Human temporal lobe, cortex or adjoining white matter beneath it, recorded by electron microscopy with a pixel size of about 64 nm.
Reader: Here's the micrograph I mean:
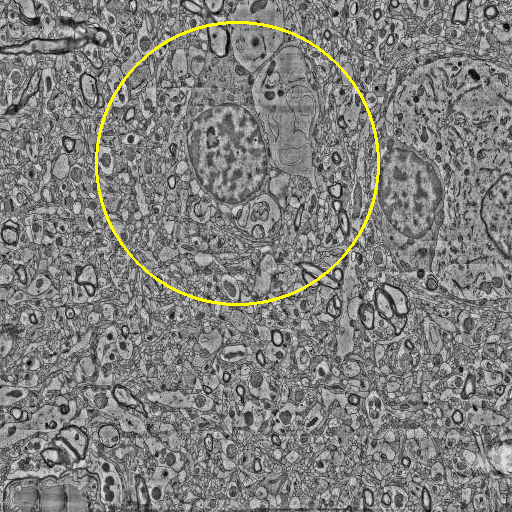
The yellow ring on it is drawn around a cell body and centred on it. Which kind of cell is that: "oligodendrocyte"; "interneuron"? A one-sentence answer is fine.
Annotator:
The ring is centred on an oligodendrocyte.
